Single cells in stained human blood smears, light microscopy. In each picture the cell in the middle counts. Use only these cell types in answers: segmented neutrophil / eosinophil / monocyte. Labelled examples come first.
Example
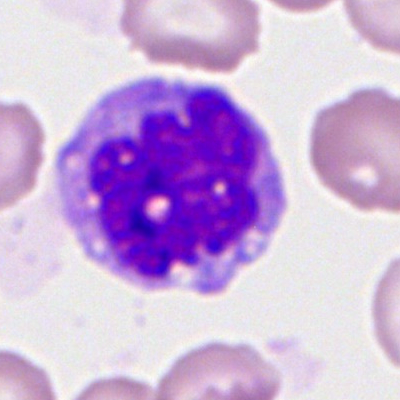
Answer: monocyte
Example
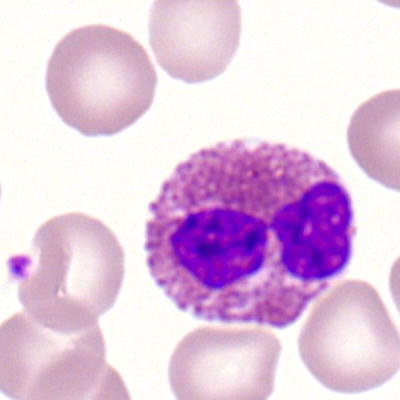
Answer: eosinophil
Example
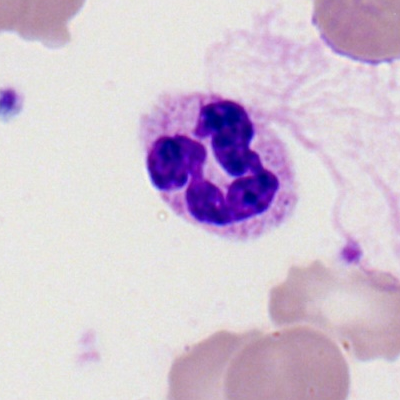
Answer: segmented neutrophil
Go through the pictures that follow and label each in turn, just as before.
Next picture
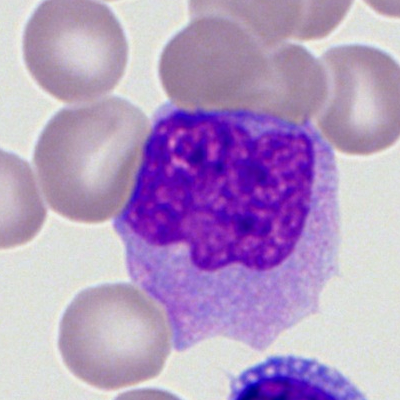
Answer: monocyte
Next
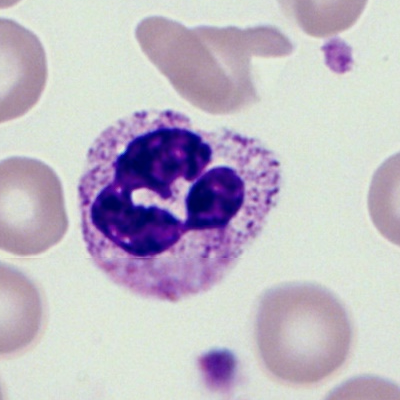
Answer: segmented neutrophil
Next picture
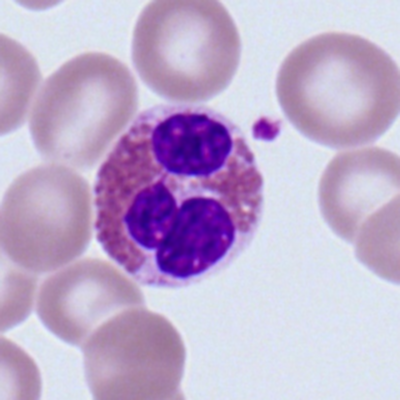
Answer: eosinophil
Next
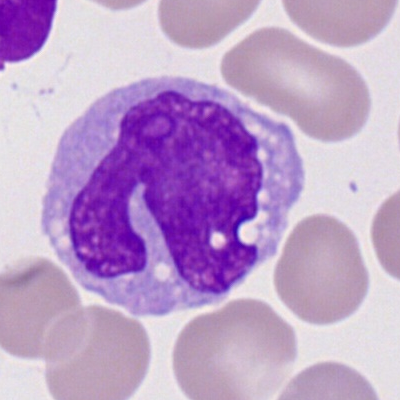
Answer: monocyte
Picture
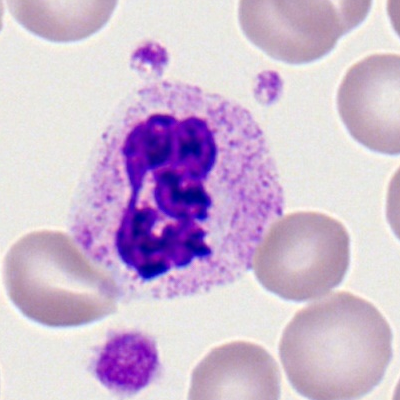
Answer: segmented neutrophil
